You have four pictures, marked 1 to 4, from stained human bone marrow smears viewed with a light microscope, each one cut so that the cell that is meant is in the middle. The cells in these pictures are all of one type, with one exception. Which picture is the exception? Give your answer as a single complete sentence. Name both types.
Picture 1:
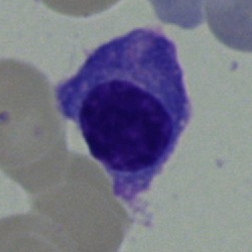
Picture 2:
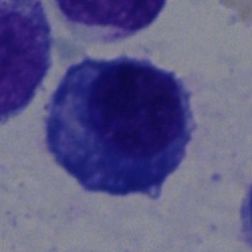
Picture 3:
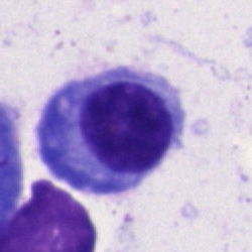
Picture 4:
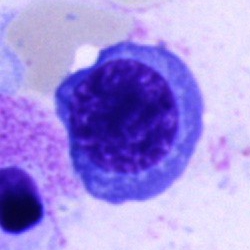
The others show plasma cells, but picture 4 shows an erythroblast.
